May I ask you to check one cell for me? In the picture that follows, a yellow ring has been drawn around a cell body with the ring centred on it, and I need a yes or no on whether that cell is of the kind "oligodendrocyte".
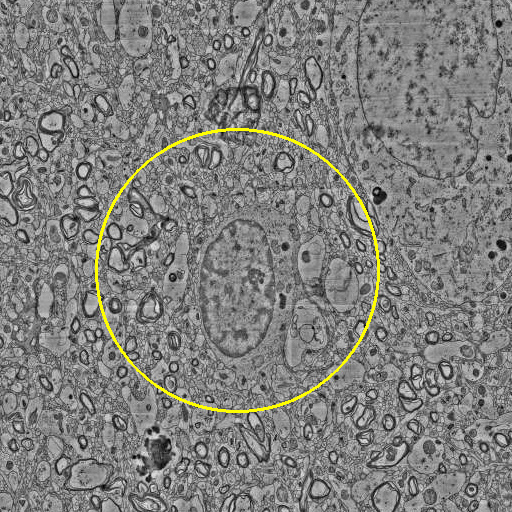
Yes, it is that kind of cell.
